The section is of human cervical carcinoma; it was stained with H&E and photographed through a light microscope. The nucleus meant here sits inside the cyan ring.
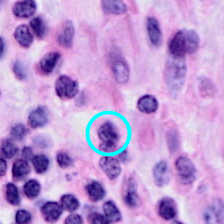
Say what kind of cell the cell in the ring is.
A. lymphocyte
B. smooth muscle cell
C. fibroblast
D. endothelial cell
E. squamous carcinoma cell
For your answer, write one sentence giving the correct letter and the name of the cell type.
Here the cell in the ring is a lymphocyte; pick option A.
